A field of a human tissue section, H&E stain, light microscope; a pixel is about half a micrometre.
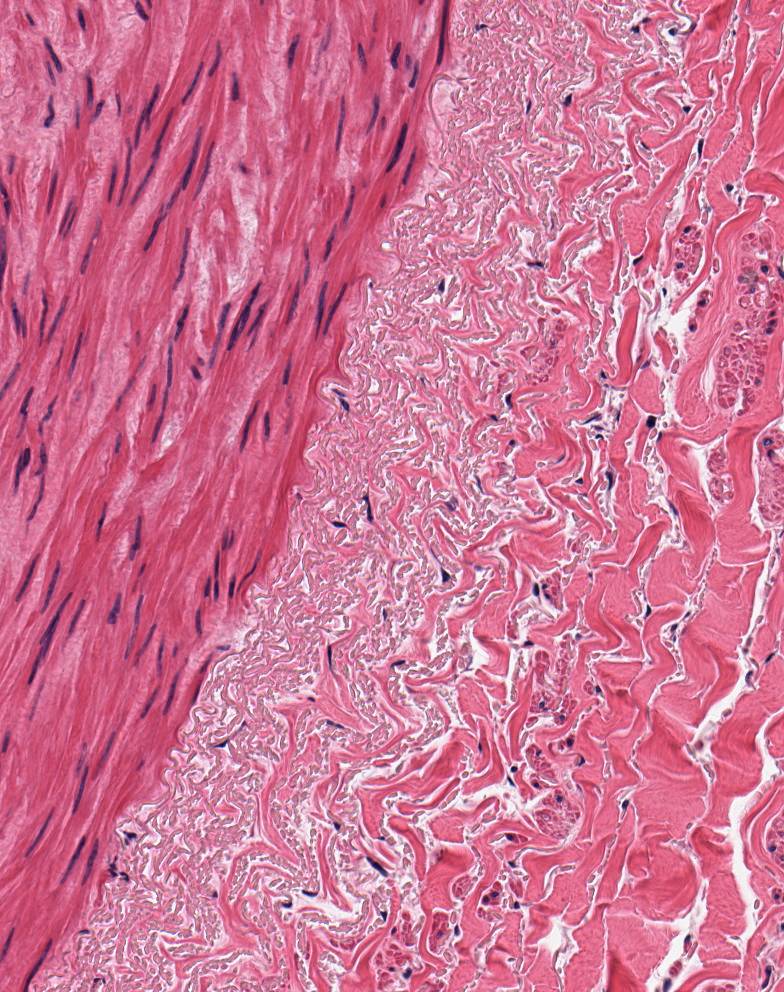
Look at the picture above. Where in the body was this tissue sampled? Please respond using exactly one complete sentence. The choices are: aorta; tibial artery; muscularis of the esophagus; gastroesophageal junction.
This section consists of tissue sampled from the tibial artery.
